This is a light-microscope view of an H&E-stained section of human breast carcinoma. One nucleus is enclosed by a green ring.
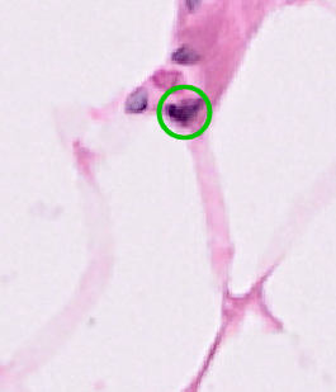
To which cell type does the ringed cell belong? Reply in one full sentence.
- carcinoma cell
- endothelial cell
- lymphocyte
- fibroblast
Within this tissue, the ringed cell is an endothelial cell.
